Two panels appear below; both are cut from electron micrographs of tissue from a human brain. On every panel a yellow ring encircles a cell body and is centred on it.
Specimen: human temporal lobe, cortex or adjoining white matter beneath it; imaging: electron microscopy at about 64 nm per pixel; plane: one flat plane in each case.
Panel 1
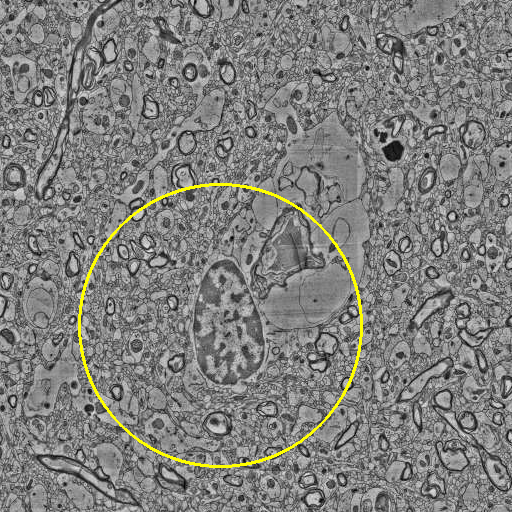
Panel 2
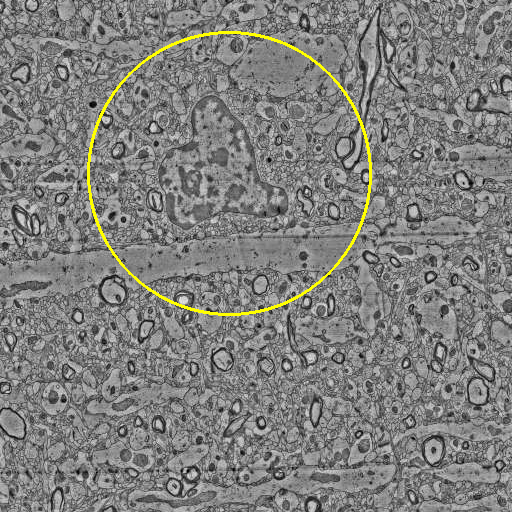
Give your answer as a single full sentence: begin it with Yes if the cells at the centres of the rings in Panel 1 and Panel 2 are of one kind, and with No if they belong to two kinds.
Yes, the cells in the middle of the rings in Panels 1 and 2 are of one kind.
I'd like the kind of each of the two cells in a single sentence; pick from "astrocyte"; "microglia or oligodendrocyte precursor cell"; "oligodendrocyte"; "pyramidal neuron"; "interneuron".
The ring centre holds a microglial cell or oligodendrocyte precursor cell in each of the two pictures.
